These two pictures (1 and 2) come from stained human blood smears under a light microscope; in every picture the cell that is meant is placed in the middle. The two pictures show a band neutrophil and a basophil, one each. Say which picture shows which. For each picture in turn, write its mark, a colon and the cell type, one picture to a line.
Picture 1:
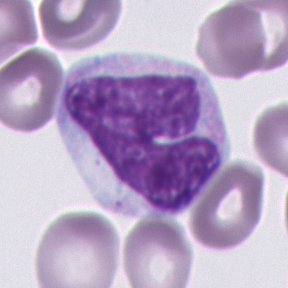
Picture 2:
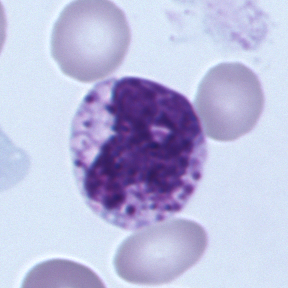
1: band neutrophil
2: basophil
